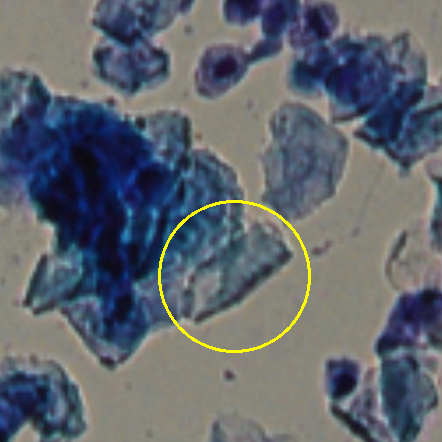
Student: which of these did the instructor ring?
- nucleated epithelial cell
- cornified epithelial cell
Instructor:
The cell I ringed is a cornified epithelial cell.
